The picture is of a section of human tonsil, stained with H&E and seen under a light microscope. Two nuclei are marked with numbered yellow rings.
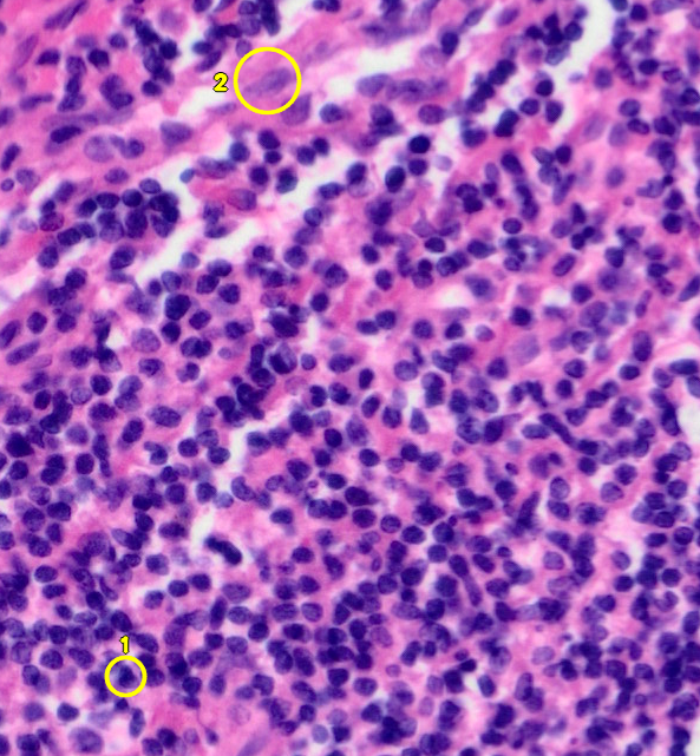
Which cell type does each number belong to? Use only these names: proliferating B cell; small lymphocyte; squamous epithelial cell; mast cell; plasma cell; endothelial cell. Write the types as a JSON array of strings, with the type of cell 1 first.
["small lymphocyte", "endothelial cell"]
